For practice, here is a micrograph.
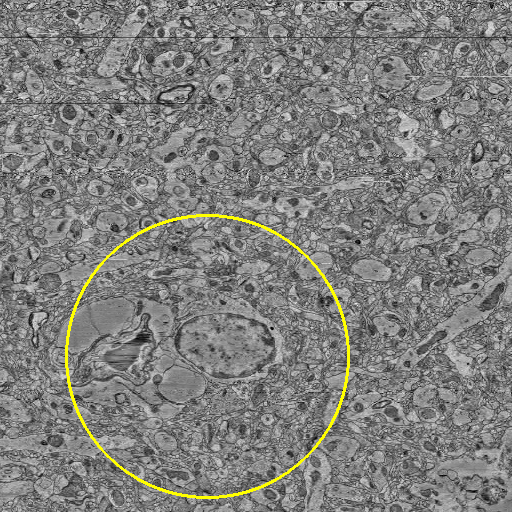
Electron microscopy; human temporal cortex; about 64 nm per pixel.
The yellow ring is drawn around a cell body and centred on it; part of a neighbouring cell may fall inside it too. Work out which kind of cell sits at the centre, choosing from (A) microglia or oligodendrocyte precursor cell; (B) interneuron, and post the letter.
A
